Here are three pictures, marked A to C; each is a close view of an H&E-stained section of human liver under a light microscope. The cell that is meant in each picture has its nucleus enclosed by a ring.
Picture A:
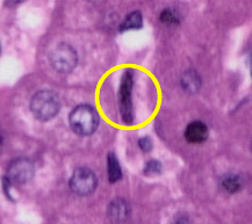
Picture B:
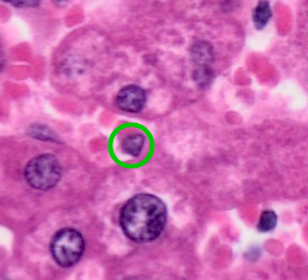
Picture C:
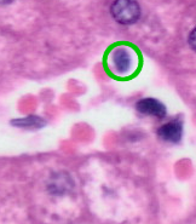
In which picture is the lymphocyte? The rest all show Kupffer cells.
C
